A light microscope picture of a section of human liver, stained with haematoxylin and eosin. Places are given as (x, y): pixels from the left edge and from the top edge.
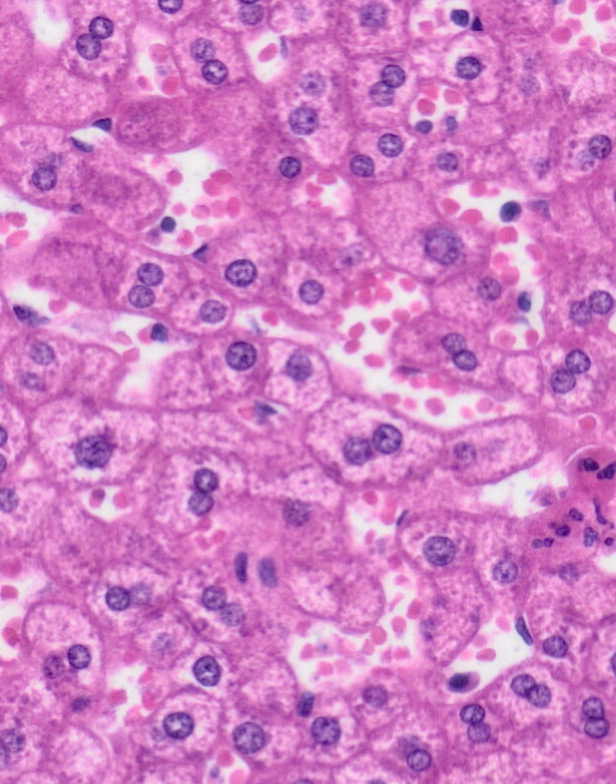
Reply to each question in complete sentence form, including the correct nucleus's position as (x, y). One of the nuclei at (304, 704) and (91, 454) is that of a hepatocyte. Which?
Between the pair, the nucleus at (91, 454) belongs to a hepatocyte.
